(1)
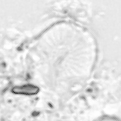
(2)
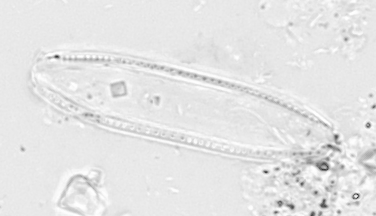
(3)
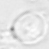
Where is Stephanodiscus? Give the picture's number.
1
